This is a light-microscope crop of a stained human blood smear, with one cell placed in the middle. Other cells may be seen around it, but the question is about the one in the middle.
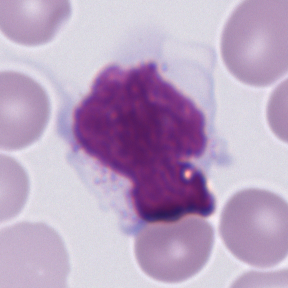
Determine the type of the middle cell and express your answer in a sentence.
As for the central cell, it is a large granular lymphocyte.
